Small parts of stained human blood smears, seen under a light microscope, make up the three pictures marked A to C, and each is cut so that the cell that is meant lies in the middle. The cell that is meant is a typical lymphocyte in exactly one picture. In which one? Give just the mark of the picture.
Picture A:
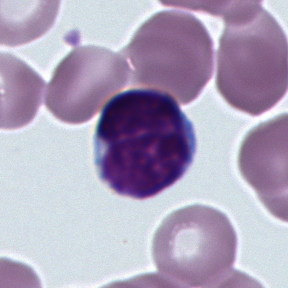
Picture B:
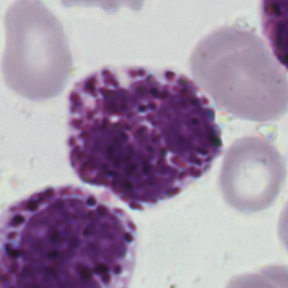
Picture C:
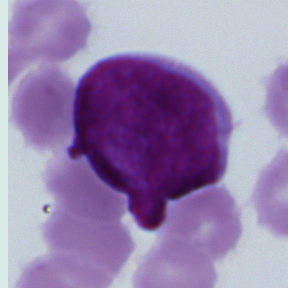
A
